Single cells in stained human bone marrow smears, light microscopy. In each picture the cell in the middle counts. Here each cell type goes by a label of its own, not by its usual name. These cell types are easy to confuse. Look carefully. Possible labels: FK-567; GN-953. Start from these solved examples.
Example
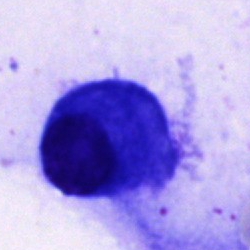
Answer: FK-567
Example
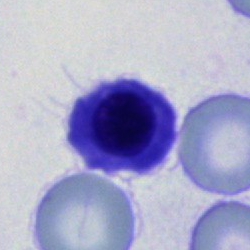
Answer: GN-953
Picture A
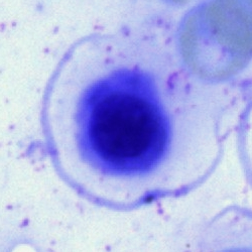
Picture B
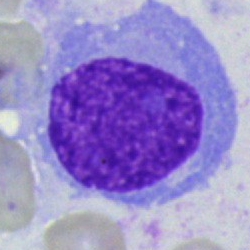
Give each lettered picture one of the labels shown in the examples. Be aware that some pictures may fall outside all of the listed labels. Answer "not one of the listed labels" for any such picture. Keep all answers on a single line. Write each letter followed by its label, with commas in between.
A GN-953, B not one of the listed labels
